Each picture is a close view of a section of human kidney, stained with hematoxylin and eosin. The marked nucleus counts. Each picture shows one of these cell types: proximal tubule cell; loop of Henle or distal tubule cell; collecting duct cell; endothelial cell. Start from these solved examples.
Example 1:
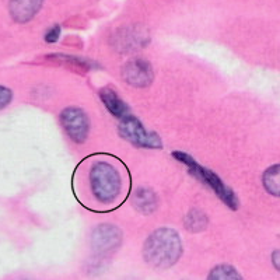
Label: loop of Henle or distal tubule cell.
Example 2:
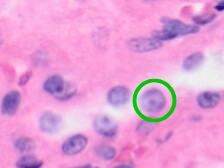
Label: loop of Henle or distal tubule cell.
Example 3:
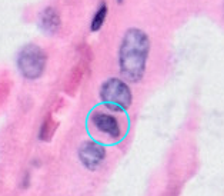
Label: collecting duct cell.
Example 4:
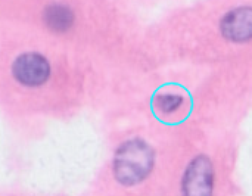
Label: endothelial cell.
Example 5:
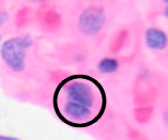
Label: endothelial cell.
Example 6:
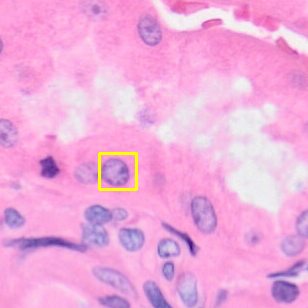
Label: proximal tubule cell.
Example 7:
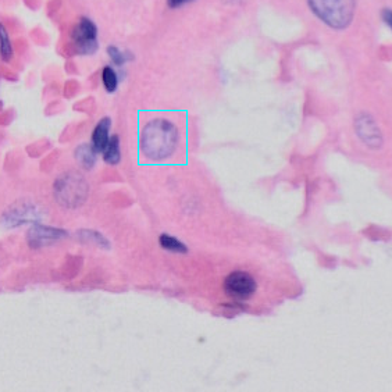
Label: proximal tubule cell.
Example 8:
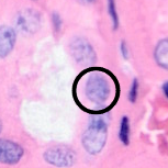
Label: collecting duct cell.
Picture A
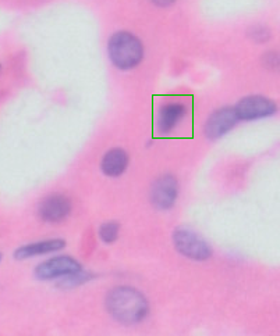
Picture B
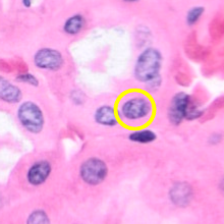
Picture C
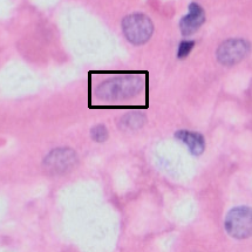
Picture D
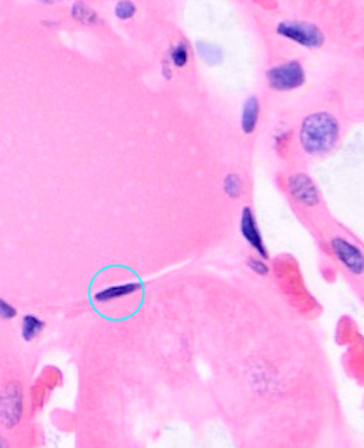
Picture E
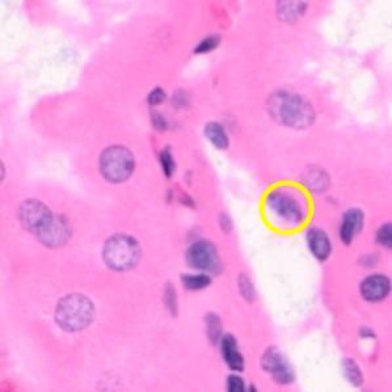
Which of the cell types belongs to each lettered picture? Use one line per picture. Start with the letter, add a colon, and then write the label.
A: endothelial cell.
B: collecting duct cell.
C: proximal tubule cell.
D: endothelial cell.
E: loop of Henle or distal tubule cell.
